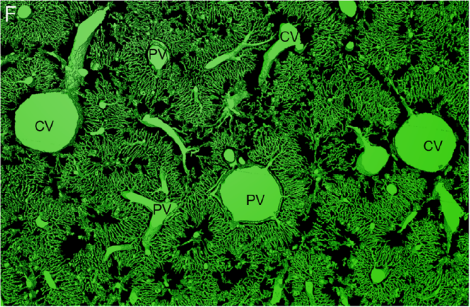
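This rendering of liver tissue shows large vessels and the surrounding network of hepatic sinusoids in green. Several large round vessels and branching smaller vessels are visible, with the fine sinusoids radiating toward them. The sinusoid network is interrupted by many irregular black empty patches. These vacancies lie around some of the large vessels, so that the network appears patchy rather than continuous.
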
